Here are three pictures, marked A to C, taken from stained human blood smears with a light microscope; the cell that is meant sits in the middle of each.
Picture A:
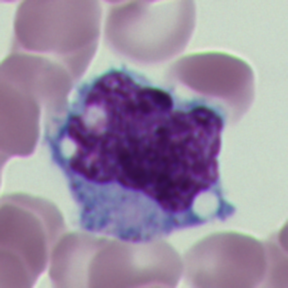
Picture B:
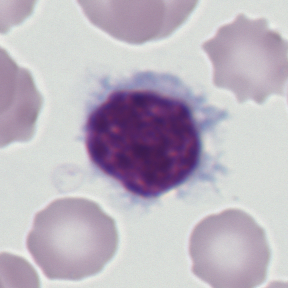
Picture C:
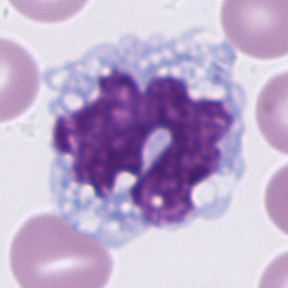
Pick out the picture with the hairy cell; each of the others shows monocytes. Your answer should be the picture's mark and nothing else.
B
